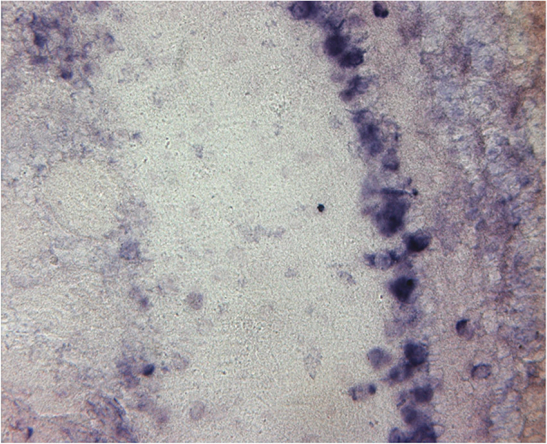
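This olfactory bulb section shows the purple label concentrated in a narrow band of large rounded cell bodies, the mitral cell layer. To its left lies a broad pale external plexiform layer with few cells, and beyond that only faint, scattered label in the glomerular layer. To the right the granule cell layer has a fine, weakly stained texture with a few labeled cells.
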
